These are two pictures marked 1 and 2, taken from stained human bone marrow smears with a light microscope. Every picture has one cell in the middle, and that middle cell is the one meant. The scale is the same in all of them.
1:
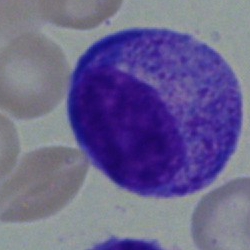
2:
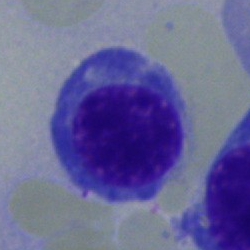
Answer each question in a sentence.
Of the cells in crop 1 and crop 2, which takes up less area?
Smaller is the cell in crop 2, and the other is about 1.5 times as large in area.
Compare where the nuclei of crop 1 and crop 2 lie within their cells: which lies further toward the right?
It is the nucleus in crop 2 that lies further toward the right of its cell.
